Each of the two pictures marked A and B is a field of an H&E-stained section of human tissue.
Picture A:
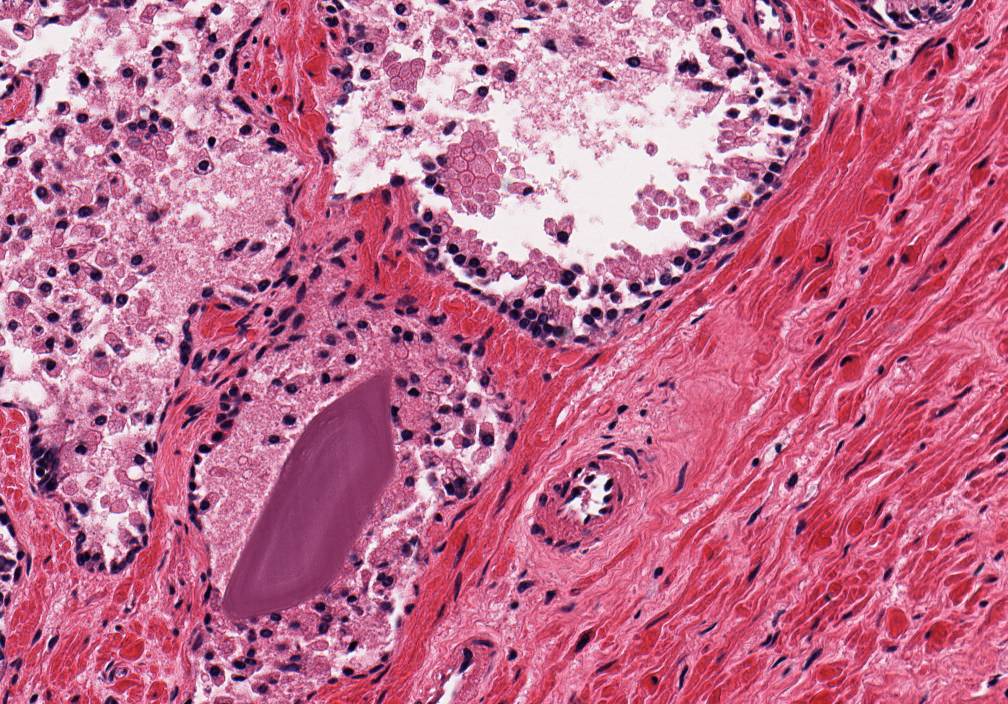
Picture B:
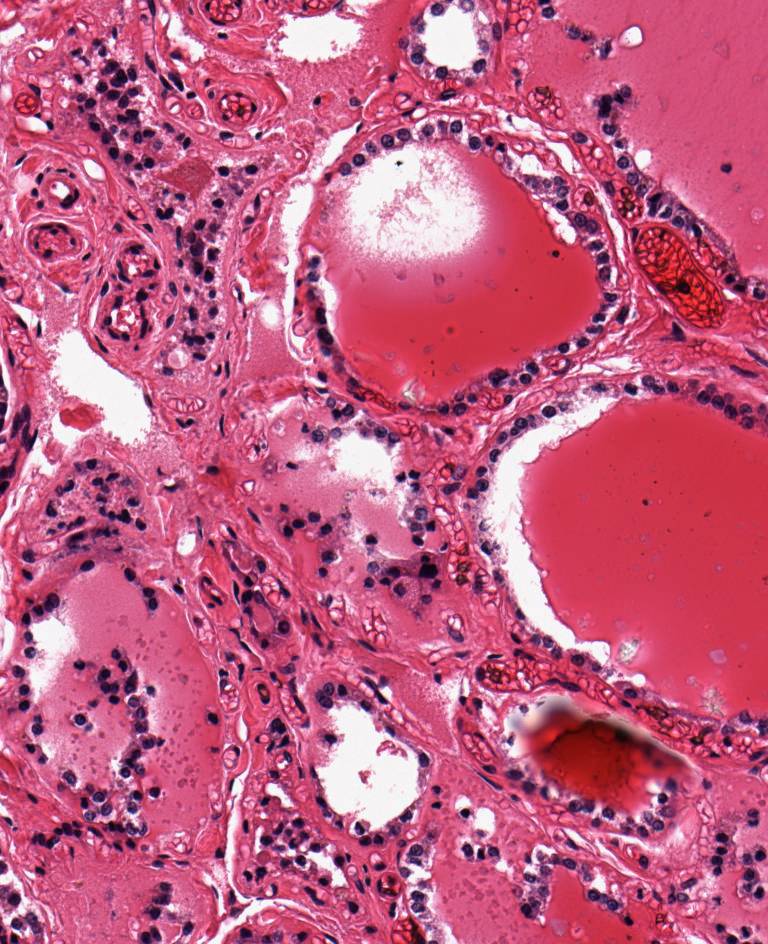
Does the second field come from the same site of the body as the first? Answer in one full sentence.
No. Picture A comes from the prostate, whereas picture B comes from the thyroid.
